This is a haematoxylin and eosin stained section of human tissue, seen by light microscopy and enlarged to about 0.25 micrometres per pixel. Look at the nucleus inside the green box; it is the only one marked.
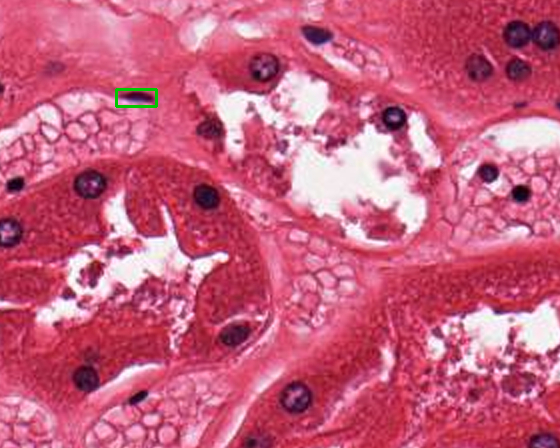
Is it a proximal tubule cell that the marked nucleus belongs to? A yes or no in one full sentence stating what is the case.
No, the marked nucleus is assigned not to a proximal tubule cell but to a supporting cell.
